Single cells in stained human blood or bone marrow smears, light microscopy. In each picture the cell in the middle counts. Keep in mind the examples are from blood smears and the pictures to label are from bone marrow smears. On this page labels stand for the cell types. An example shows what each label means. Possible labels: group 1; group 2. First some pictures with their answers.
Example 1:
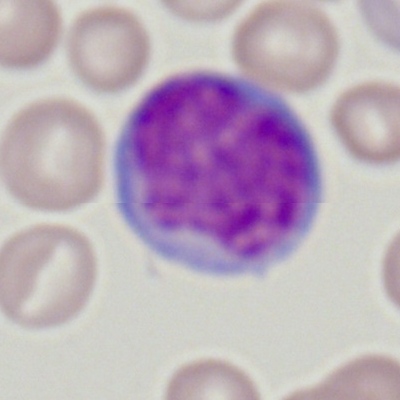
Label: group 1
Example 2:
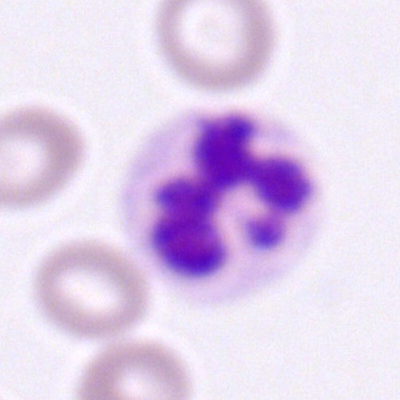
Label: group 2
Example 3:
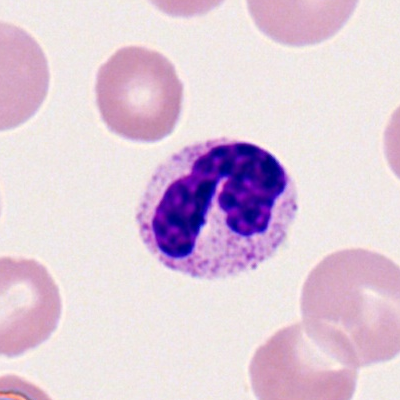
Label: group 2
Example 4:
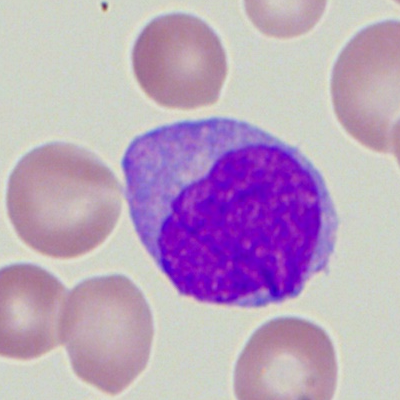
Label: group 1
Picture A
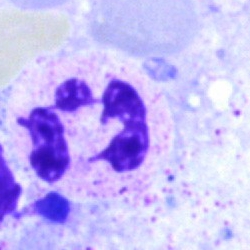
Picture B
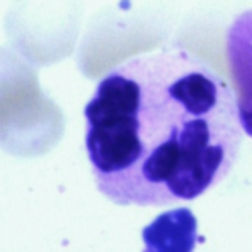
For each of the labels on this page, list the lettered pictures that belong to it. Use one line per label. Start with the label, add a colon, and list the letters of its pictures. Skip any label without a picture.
group 2: A, B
